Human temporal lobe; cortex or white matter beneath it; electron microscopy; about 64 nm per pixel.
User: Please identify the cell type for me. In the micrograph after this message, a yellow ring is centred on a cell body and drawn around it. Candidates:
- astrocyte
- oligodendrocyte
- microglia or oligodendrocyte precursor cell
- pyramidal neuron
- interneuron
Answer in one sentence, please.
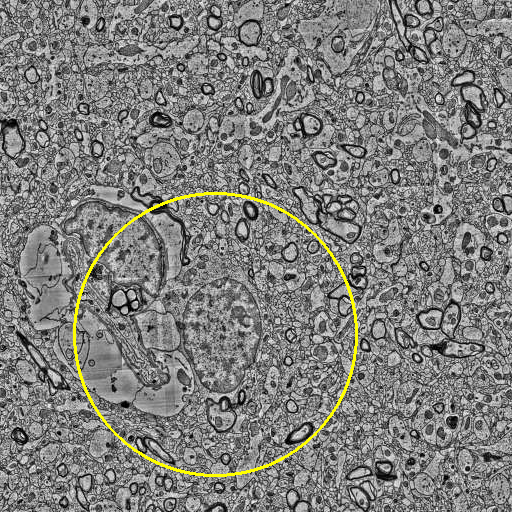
The ring is drawn around the cell body of an oligodendrocyte.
